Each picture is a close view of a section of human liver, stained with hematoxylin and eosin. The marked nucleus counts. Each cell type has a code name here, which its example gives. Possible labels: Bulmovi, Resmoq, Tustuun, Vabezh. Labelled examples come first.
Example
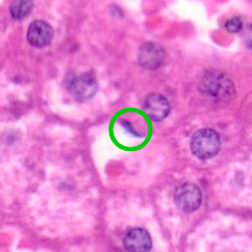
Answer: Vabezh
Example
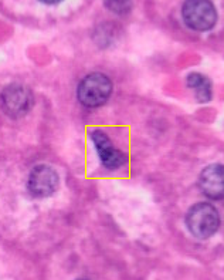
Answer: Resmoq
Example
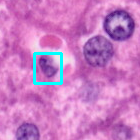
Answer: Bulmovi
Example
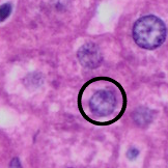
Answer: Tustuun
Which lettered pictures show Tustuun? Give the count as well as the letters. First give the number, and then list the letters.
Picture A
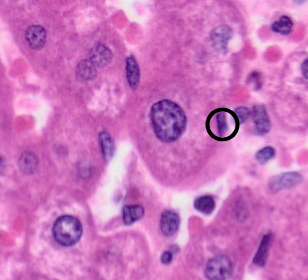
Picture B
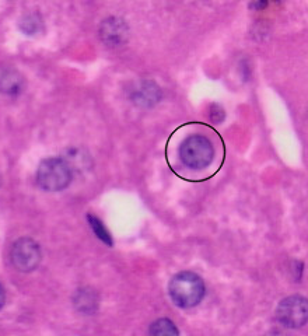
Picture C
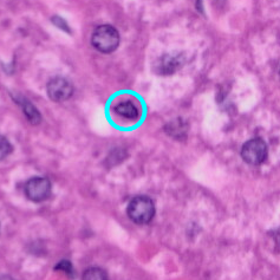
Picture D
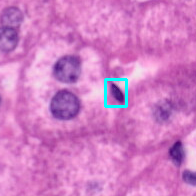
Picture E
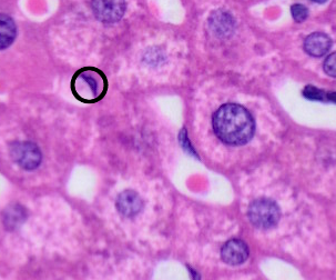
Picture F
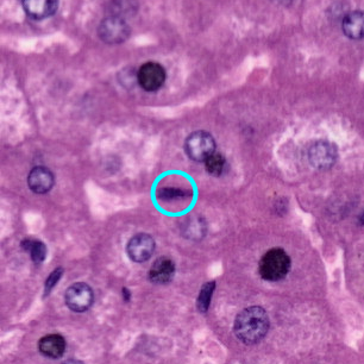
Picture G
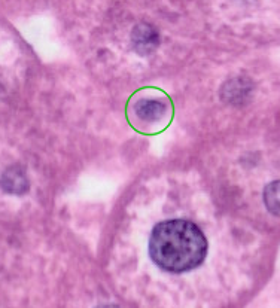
Count: 1 (B)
